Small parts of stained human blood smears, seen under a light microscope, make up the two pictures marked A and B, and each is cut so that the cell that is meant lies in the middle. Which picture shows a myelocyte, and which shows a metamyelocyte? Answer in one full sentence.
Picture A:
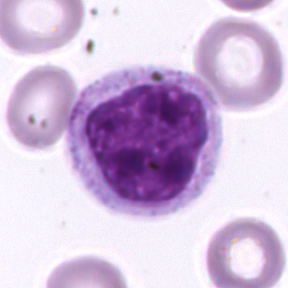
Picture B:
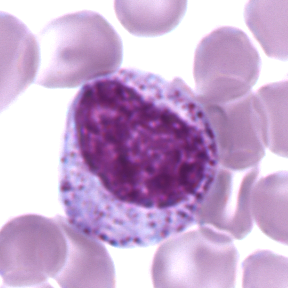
The cell in picture A is a metamyelocyte, and the one in picture B is a myelocyte.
